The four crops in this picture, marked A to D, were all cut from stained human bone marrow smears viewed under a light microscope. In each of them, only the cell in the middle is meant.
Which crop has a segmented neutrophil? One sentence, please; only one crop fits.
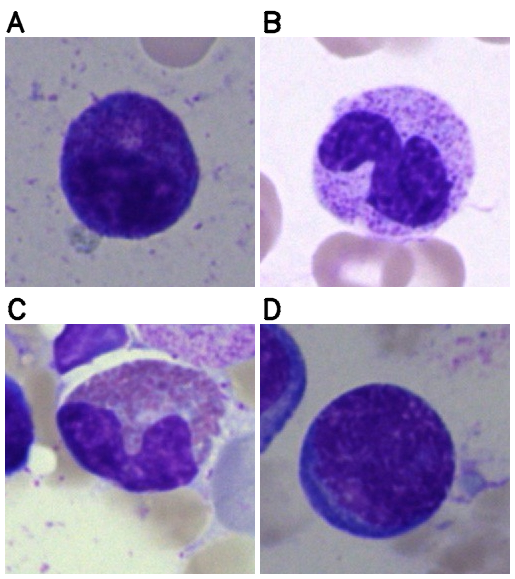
Of the crops shown, crop B depicts a segmented neutrophil.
